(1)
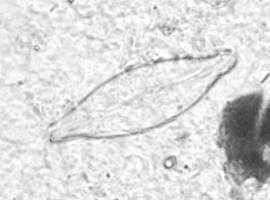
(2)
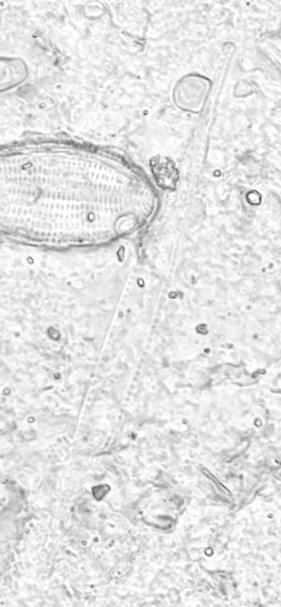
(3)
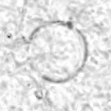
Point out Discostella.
That is picture 3.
